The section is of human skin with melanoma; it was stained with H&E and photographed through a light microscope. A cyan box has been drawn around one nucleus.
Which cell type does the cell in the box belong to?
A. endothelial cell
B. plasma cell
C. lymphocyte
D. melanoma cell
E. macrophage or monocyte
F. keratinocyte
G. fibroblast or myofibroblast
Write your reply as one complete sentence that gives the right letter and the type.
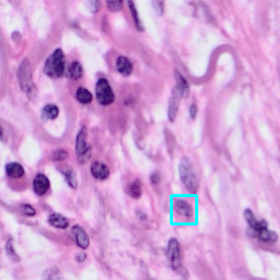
In this case the cell in the box is a macrophage or monocyte, so option E is correct.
